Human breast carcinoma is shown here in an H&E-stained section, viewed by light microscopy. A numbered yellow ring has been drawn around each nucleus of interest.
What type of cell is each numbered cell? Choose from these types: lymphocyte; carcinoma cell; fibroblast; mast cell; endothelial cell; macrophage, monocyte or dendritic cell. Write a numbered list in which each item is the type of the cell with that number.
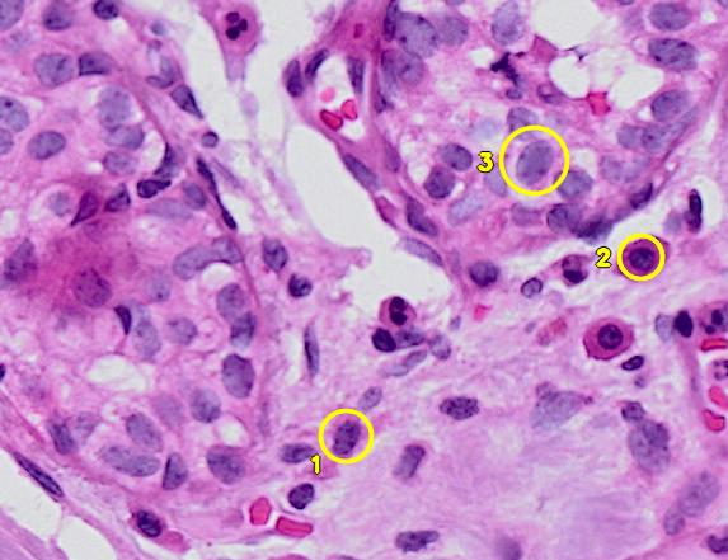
1. mast cell
2. mast cell
3. carcinoma cell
